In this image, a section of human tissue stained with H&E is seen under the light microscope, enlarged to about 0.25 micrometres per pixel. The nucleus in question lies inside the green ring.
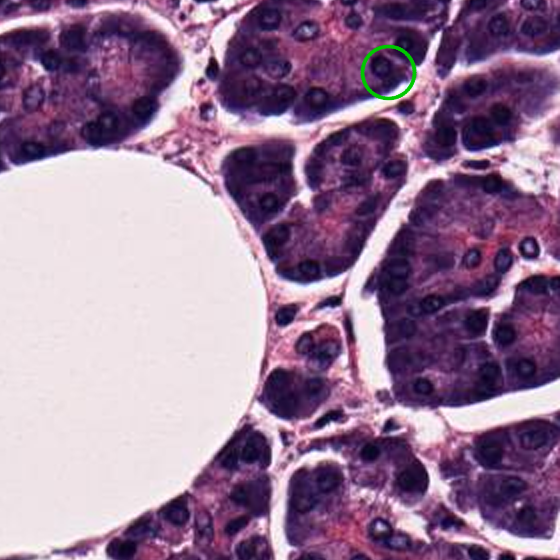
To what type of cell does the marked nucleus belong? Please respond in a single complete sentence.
The nucleus singled out by the mark belongs to a pancreatic acinar cell.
